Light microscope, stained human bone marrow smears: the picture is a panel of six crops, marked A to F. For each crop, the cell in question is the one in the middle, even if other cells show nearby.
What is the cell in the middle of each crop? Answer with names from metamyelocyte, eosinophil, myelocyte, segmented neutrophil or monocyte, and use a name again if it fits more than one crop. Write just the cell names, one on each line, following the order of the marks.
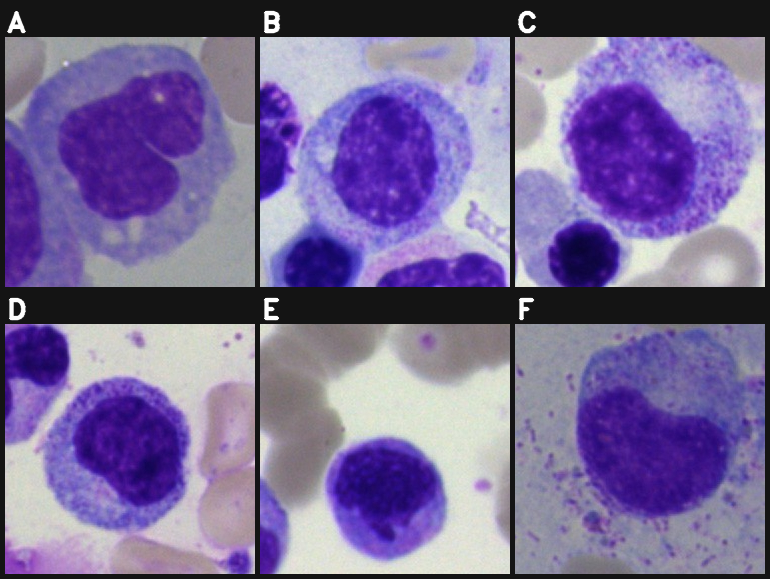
monocyte
myelocyte
myelocyte
myelocyte
monocyte
myelocyte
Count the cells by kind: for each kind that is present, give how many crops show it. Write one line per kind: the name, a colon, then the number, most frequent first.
myelocyte: 4
monocyte: 2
